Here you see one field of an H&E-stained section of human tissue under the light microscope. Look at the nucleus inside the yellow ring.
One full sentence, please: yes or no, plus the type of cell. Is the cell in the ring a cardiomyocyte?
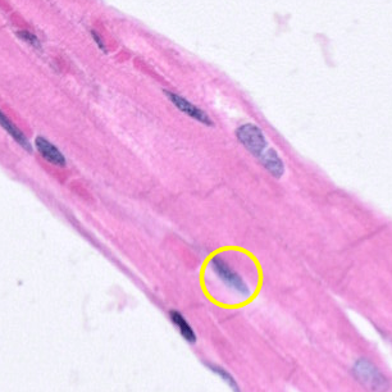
No, as a cell type, the cell in the ring is a fibroblast rather than a cardiomyocyte.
